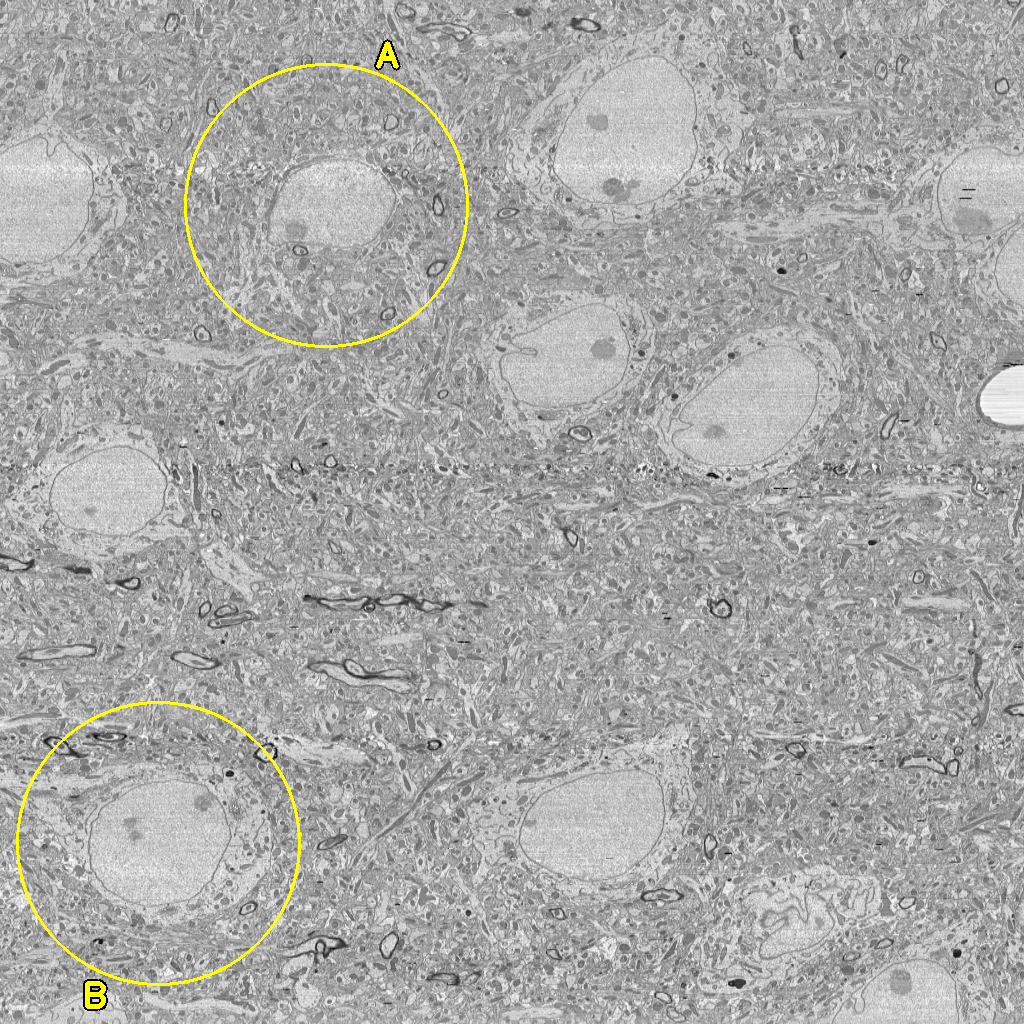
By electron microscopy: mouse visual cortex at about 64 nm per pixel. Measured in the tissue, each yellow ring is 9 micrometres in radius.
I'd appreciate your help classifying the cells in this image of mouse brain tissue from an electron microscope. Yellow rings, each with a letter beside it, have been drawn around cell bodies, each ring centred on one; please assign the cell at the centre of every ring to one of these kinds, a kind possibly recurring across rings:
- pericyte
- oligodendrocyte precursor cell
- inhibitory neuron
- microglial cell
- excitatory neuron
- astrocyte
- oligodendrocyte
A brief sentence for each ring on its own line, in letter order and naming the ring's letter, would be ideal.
In ring A, the central cell is an astrocyte.
In ring B, the central cell is an excitatory neuron.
